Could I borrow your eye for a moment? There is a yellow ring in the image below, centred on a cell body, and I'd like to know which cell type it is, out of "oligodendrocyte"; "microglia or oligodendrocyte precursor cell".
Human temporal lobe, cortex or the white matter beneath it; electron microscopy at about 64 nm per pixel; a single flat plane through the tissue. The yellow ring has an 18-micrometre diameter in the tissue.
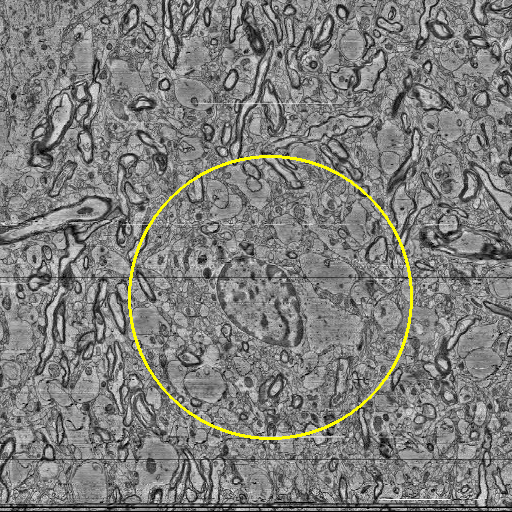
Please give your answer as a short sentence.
The cell body at the centre is that of a microglial cell or oligodendrocyte precursor cell.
